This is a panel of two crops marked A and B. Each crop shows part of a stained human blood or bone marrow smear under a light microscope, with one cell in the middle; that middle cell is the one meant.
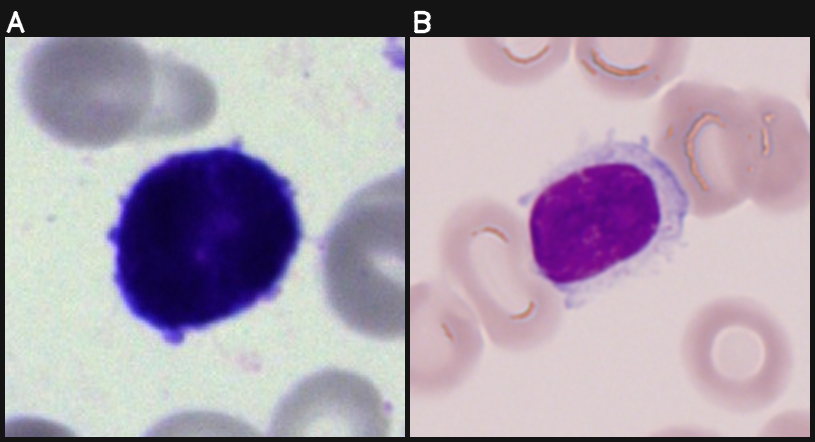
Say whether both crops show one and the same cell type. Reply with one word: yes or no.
no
